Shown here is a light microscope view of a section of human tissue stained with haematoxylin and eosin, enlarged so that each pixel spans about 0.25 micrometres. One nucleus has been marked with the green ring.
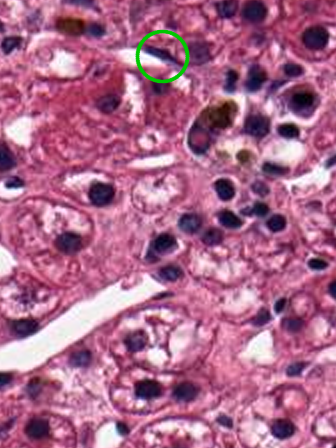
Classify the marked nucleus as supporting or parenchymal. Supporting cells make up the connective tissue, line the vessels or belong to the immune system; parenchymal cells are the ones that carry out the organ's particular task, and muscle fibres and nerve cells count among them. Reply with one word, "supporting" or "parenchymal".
supporting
